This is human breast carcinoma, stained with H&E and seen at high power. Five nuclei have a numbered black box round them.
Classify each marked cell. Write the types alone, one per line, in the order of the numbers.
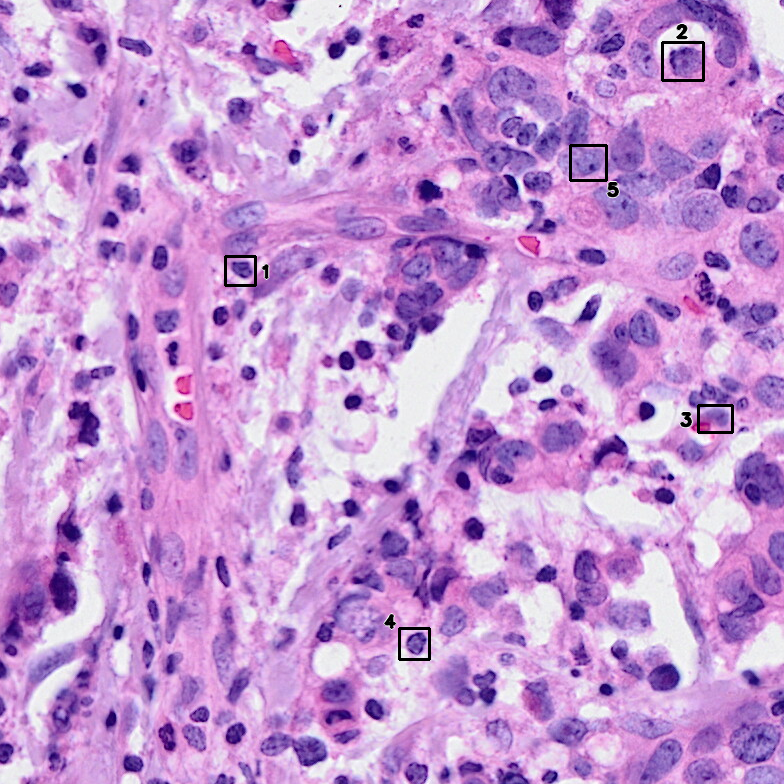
lymphocyte
carcinoma cell
endothelial cell
lymphocyte
carcinoma cell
